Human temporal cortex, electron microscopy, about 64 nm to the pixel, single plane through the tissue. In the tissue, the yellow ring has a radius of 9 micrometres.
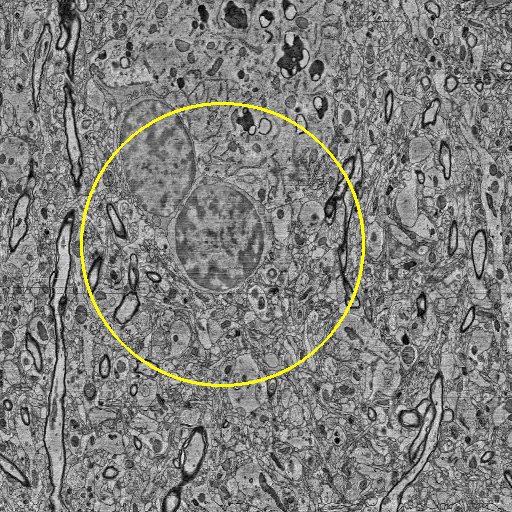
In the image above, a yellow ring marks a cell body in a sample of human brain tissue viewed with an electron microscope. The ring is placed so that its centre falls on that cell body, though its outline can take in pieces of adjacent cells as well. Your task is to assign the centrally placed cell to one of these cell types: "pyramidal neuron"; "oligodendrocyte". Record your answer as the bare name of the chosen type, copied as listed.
oligodendrocyte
